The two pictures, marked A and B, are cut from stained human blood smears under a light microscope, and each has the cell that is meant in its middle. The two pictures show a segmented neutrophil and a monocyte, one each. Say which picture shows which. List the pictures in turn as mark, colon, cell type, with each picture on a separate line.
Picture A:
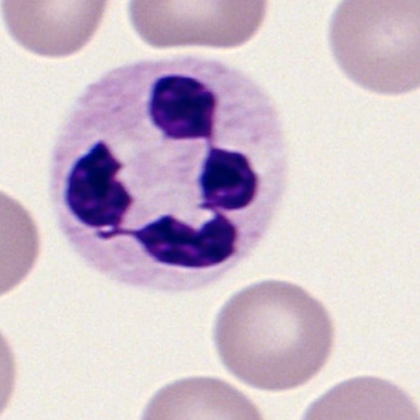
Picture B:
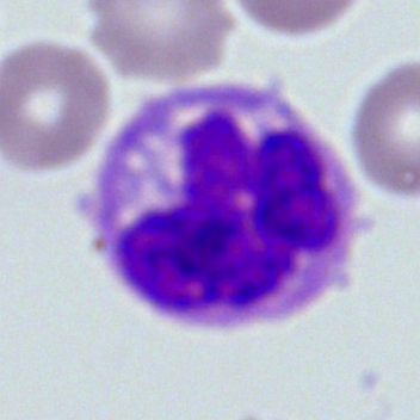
A: segmented neutrophil
B: monocyte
